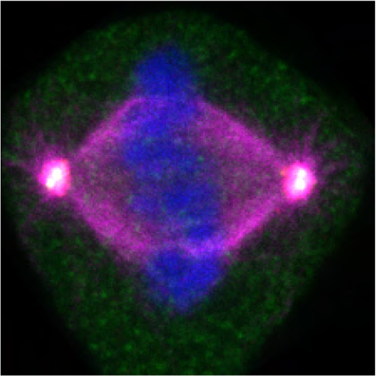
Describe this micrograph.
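A single rounded dividing cell holds a diamond-shaped spindle of magenta fibres that converge on two bright, tightly focused poles at either side. Blue chromosomes gather in a band across the middle of the spindle, at right angles to the pole-to-pole axis. Faint green speckle fills the surrounding cytoplasm.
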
